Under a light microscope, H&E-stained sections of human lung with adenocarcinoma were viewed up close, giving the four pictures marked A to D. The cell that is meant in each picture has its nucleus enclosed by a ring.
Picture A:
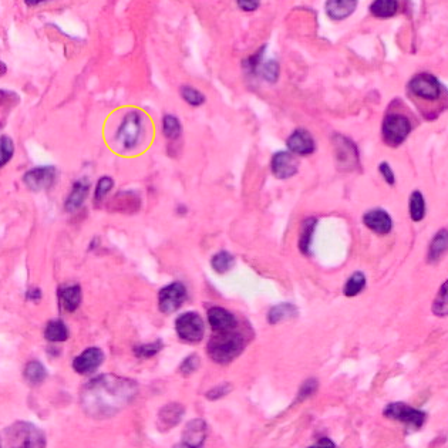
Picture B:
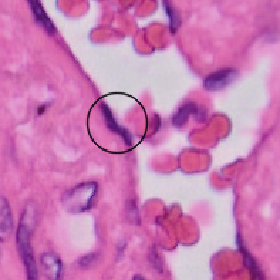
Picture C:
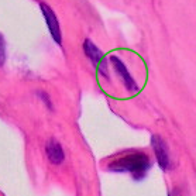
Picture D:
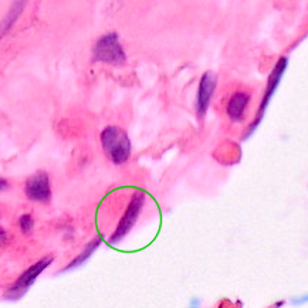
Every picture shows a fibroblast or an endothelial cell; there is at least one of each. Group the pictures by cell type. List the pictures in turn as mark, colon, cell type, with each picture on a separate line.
A: fibroblast
B: endothelial cell
C: fibroblast
D: endothelial cell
